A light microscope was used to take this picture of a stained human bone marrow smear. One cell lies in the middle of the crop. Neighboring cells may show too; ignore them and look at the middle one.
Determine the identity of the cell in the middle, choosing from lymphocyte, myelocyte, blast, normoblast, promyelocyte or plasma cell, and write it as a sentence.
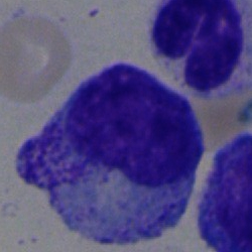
The cell of interest, in the center, is a myelocyte.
